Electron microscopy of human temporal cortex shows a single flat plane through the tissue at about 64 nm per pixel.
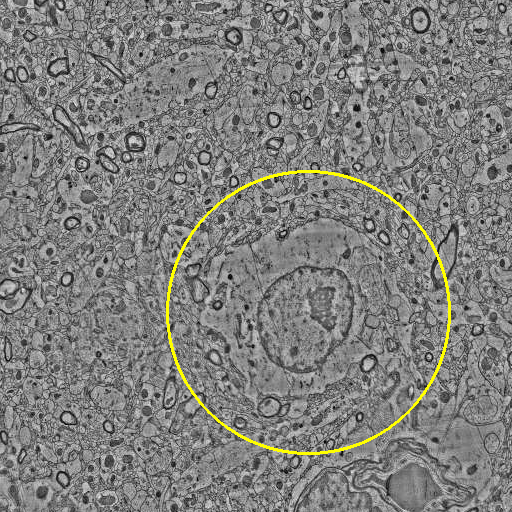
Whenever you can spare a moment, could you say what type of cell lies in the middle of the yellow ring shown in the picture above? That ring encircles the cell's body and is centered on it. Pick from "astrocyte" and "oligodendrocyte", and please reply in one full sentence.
The cell whose body sits at the middle of the yellow ring is an astrocyte.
